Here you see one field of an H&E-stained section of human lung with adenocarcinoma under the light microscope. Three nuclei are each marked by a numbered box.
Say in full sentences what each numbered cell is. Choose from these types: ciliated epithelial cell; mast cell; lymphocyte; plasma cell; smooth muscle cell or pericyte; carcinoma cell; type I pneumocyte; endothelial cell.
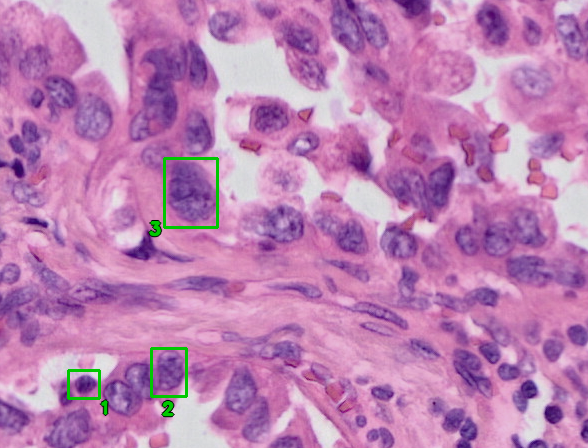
Cell 1 is a lymphocyte, cell 2 is a carcinoma cell and cell 3 is a carcinoma cell.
